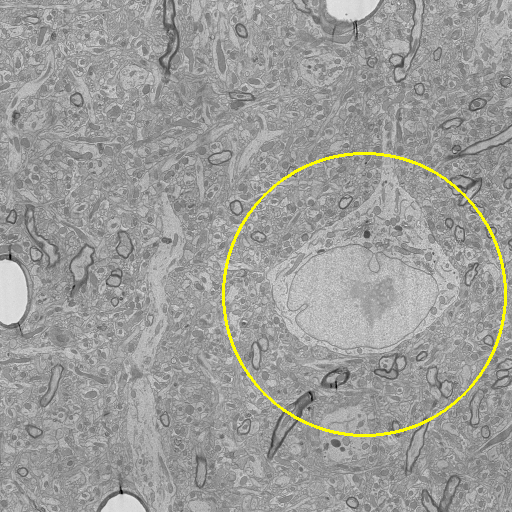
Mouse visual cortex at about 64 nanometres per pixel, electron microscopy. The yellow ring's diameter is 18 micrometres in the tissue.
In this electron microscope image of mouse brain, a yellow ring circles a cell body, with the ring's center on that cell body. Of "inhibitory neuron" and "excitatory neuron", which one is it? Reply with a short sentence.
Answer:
It is an inhibitory neuron at the center of the ring.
